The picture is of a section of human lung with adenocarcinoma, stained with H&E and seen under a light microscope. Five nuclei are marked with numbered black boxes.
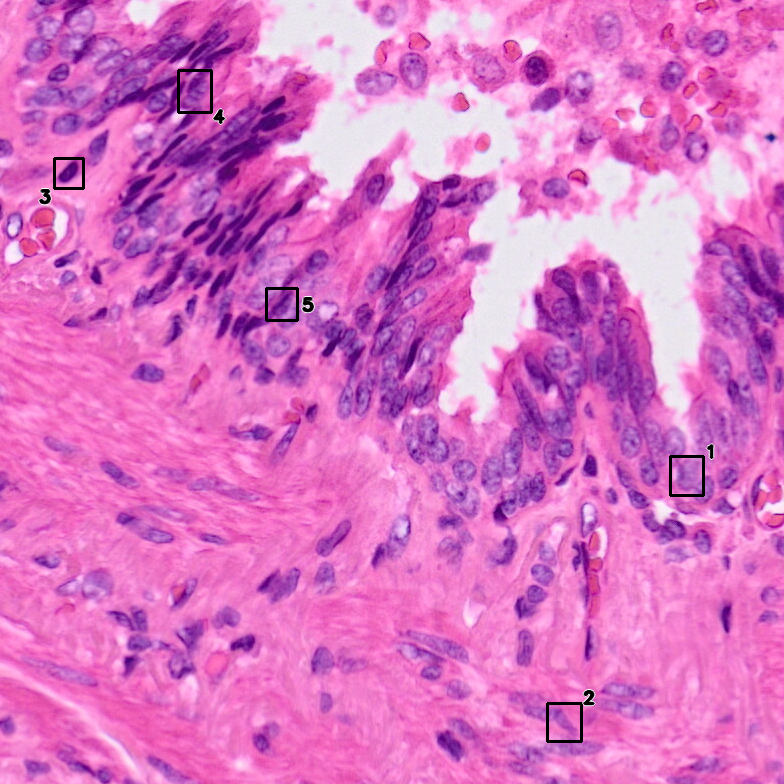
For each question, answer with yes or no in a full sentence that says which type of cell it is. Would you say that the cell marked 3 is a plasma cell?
Yes, cell 3 among the marked cells is a plasma cell.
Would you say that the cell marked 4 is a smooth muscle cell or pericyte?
No, the nucleus numbered 4 belongs to a ciliated epithelial cell, not a smooth muscle cell or pericyte.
